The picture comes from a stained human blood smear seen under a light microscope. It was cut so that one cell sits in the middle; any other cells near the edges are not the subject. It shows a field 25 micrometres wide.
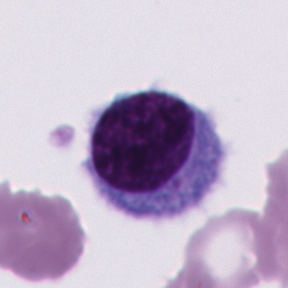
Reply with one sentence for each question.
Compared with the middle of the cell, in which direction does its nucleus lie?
Seen from the middle of the cell, the nucleus lies toward the upper left.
